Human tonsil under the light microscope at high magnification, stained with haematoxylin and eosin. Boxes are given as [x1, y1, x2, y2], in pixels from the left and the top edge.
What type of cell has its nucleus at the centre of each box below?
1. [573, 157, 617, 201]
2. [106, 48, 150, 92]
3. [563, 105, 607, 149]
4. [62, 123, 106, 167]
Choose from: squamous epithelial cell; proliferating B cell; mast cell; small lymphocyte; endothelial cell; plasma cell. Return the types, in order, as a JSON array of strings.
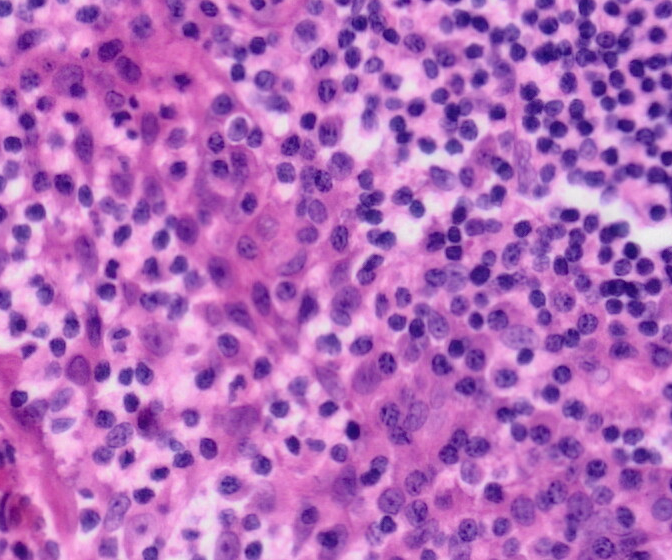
["small lymphocyte", "squamous epithelial cell", "small lymphocyte", "squamous epithelial cell"]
